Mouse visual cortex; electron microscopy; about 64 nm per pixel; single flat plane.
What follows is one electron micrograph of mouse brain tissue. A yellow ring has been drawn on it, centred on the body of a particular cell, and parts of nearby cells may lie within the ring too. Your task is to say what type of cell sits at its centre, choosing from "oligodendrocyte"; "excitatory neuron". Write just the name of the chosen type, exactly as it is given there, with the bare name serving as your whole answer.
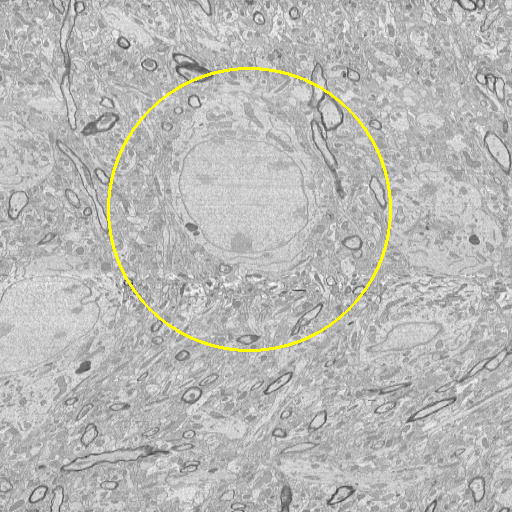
excitatory neuron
